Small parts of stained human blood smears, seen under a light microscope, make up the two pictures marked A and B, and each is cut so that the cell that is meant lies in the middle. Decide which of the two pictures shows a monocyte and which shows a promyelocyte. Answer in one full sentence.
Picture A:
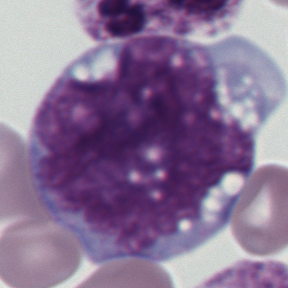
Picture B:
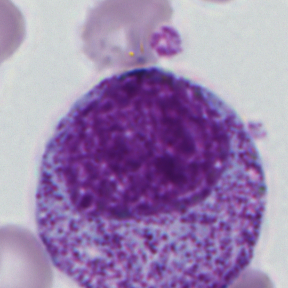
In picture A the cell is a monocyte; in picture B, a promyelocyte.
